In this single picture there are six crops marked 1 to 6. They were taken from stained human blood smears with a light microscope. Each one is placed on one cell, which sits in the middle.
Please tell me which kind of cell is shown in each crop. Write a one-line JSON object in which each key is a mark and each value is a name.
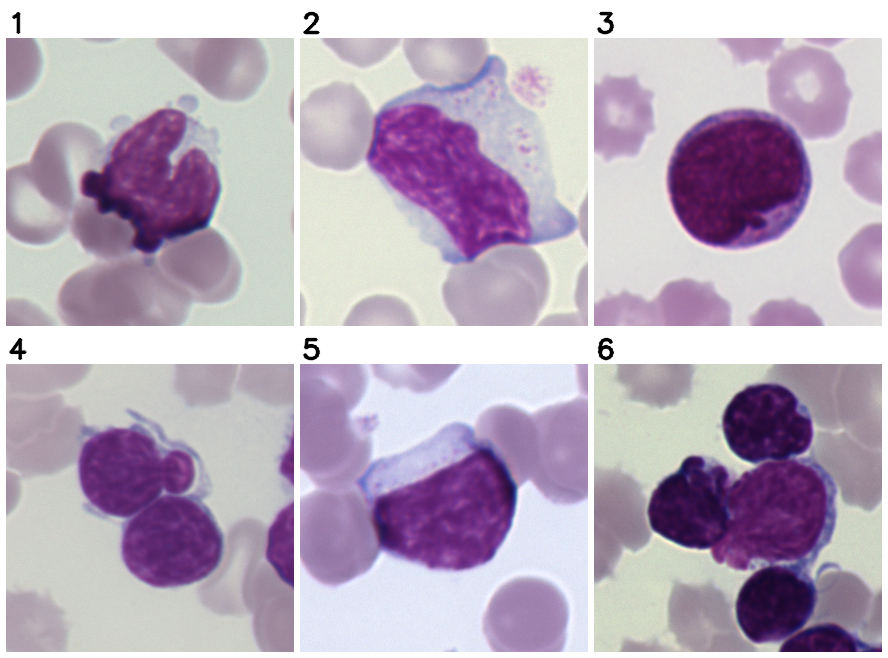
{"1": "large granular lymphocyte", "2": "large granular lymphocyte", "3": "myeloblast", "4": "myeloblast", "5": "large granular lymphocyte", "6": "myeloblast"}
